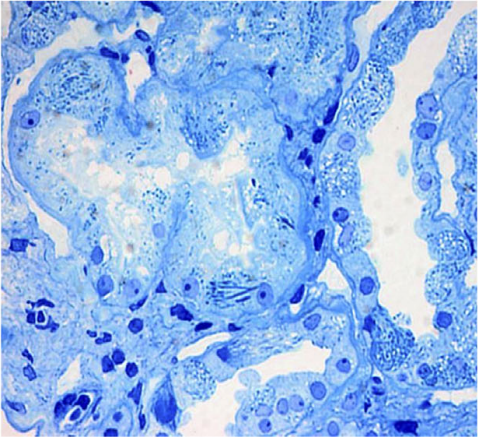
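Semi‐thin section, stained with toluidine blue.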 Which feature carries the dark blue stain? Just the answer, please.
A: Crystals and granules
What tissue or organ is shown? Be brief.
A: Proximal tubules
